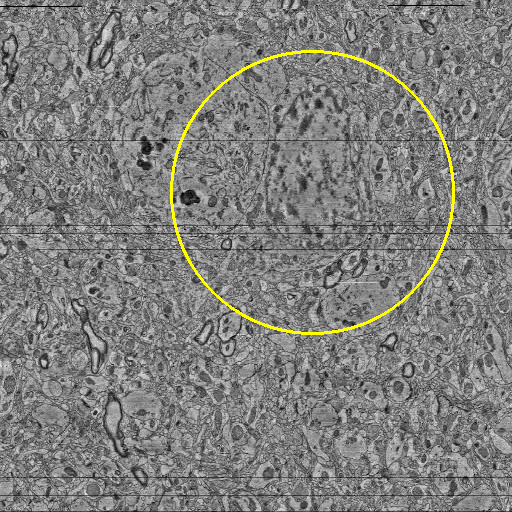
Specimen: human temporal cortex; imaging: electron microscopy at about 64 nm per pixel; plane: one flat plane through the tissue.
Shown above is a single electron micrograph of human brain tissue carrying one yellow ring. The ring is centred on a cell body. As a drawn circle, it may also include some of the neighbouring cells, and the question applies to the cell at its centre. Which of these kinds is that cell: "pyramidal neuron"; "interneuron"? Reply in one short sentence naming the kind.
The cell marked by the ring is an interneuron.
